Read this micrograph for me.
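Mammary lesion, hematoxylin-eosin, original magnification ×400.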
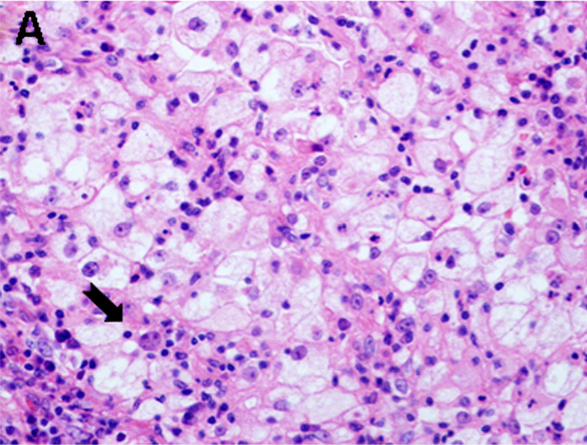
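This high-power view shows a sheet of large histiocytes mixed with small round inflammatory cells, lymphocytes and plasma cells. The histiocytes are very large, with abundant pale pink, finely granular to vacuolated cytoplasm and well-defined cell borders. Their nuclei are relatively large and round with open, pale chromatin and distinct nucleoli. Small cells with dense dark round nuclei are scattered between the histiocytes and are more crowded toward the lower left. Some histiocytes contain intact small dark cells within their cytoplasm, a picture of emperipolesis.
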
